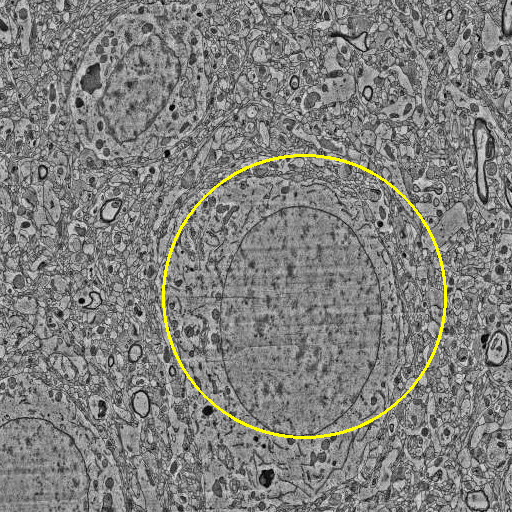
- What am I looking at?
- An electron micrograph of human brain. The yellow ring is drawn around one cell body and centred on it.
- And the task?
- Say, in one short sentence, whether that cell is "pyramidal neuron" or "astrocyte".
The cell in the middle of the ring is a pyramidal neuron.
